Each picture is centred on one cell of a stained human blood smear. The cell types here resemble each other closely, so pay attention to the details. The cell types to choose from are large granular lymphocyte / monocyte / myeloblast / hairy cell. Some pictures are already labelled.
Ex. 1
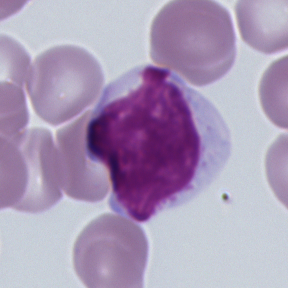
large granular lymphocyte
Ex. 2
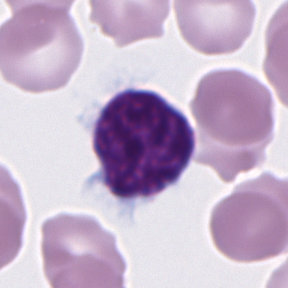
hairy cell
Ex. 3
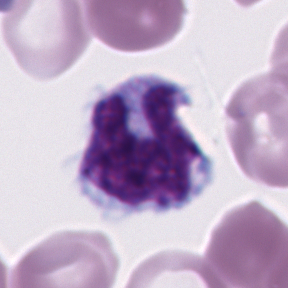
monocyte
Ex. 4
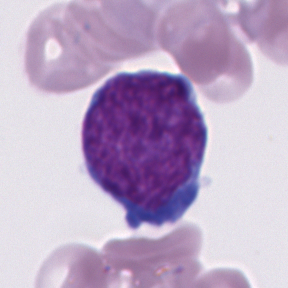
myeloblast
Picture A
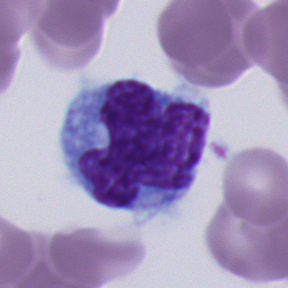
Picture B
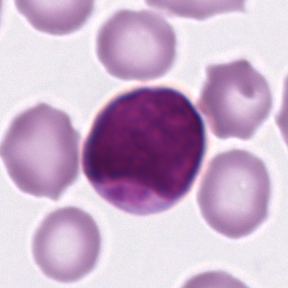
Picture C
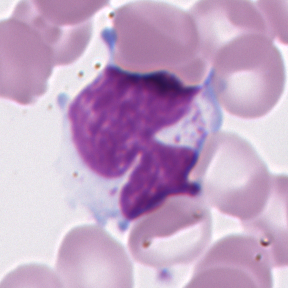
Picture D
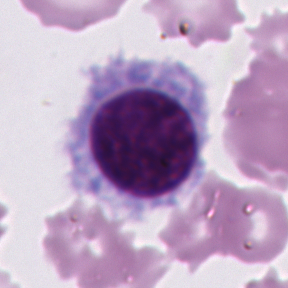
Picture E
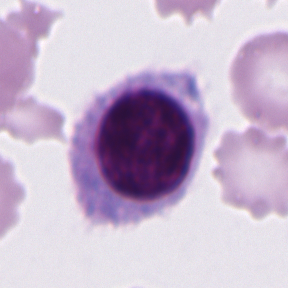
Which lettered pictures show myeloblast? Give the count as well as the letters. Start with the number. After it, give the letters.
1, namely B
